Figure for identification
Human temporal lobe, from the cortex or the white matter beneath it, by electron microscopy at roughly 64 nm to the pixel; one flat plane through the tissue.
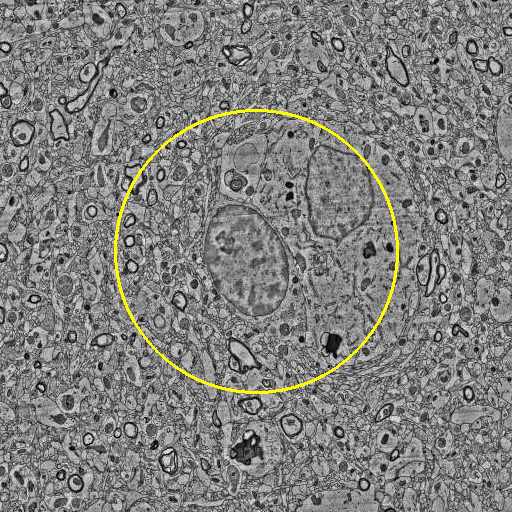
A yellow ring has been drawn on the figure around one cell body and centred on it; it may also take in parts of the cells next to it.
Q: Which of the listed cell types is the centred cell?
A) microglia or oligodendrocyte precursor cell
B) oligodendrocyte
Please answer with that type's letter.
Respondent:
B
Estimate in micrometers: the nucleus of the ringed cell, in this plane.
In this plane the nucleus measures roughly 7 by 5 micrometres.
